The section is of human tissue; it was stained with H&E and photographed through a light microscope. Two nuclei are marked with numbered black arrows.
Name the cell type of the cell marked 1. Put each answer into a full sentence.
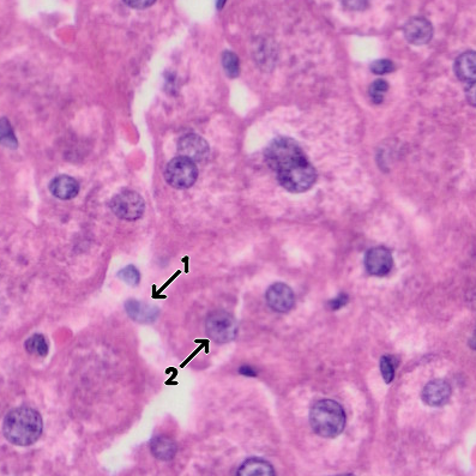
The numeral 1 marks an endothelial cell in this section.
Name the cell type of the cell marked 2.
In this section, number 2 marks a hepatocyte.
